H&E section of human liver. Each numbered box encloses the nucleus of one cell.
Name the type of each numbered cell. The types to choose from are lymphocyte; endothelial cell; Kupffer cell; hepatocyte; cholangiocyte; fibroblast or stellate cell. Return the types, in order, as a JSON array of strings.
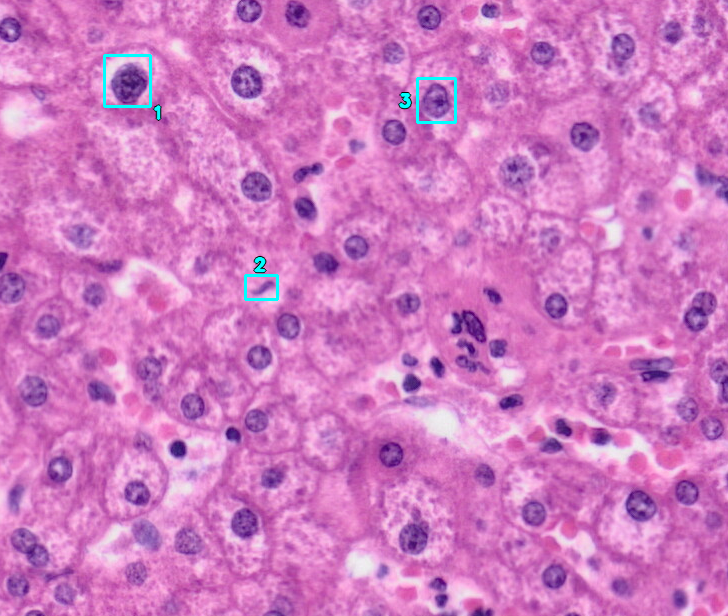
["hepatocyte", "endothelial cell", "hepatocyte"]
